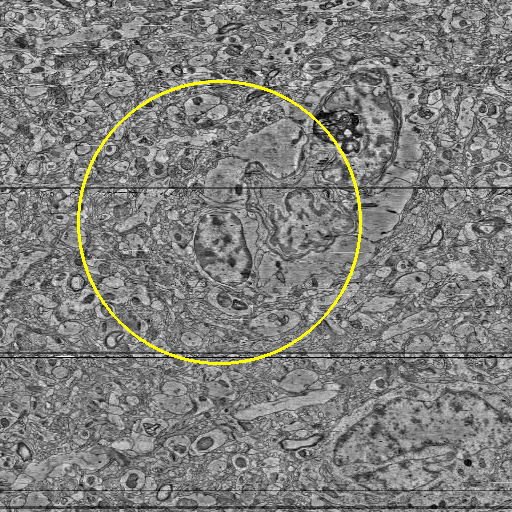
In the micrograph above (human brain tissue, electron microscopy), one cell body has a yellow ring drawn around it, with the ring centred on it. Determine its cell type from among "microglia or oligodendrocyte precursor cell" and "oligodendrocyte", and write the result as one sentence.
The cell whose body is ringed is a microglial cell or oligodendrocyte precursor cell.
